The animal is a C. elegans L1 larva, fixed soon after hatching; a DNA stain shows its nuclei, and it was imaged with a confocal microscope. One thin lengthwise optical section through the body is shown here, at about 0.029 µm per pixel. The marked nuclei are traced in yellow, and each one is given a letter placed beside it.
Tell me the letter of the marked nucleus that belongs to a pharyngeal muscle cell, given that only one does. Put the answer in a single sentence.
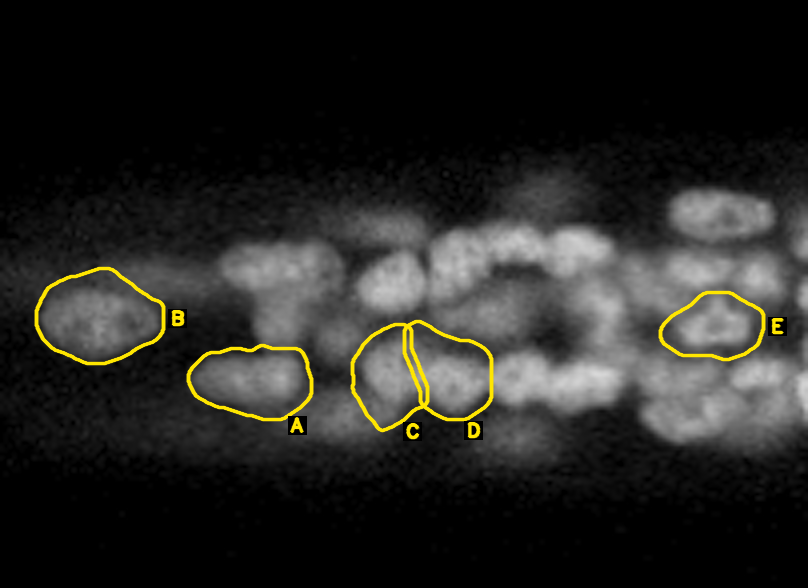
The one from a pharyngeal muscle cell is E.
